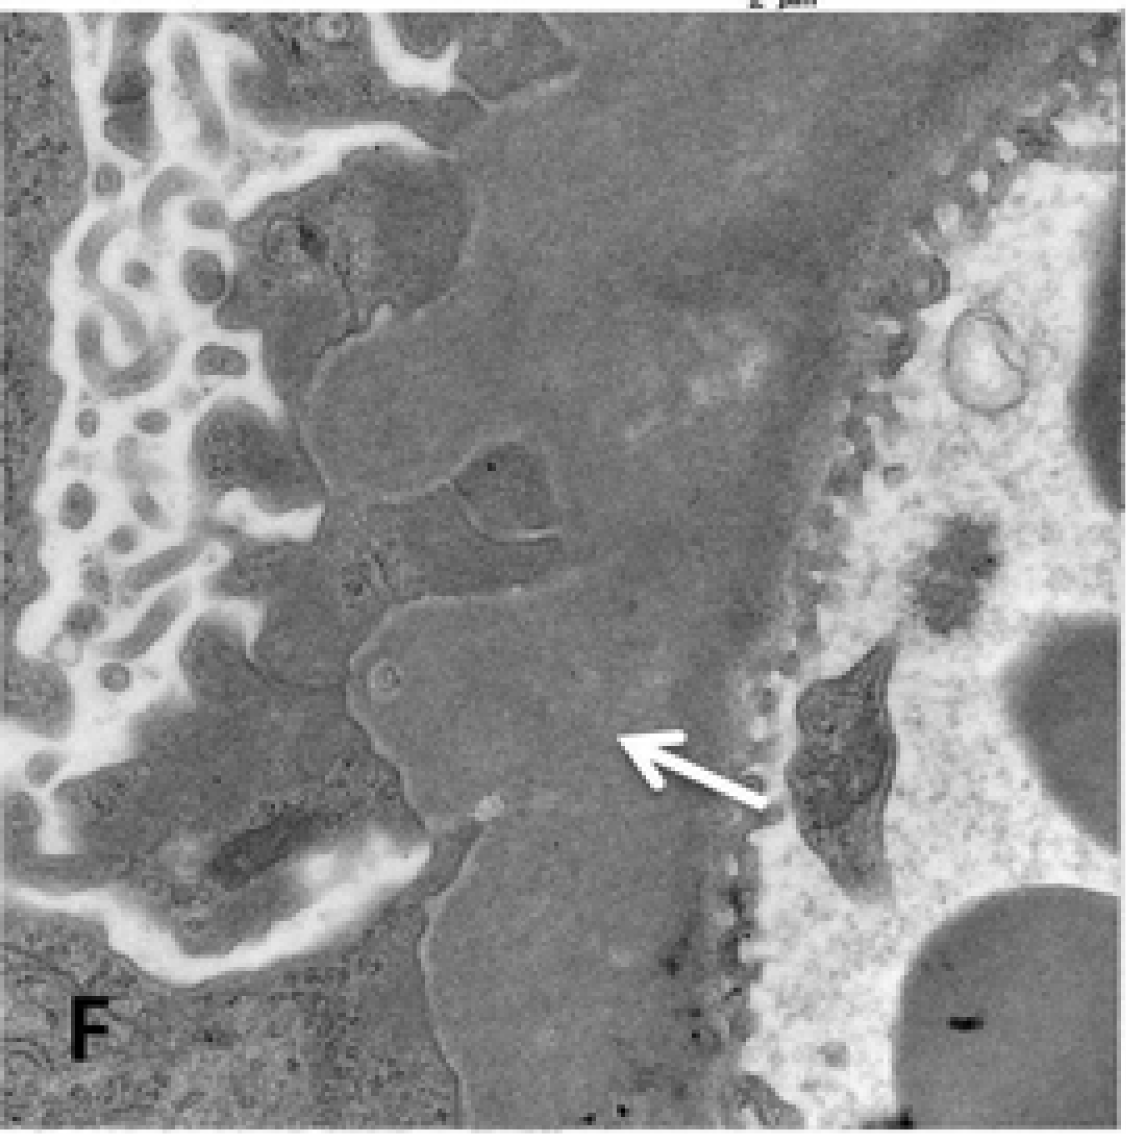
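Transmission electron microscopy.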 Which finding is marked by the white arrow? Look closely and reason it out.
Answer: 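Expanded glomerular basement membrane. A very wide, dense grey, lobulated band fills the middle of the panel.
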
